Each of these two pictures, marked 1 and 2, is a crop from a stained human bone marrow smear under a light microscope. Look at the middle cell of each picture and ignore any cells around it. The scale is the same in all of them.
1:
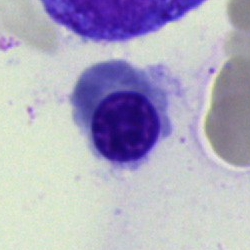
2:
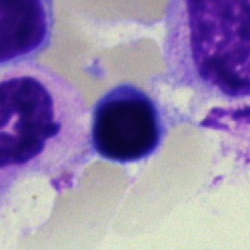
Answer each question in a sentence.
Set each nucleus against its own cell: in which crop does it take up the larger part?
It is the cell in crop 2 that is filled more by its nucleus.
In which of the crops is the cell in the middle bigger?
Crop 1 holds the larger cell; it covers about 2 times the area of the cell in crop 2.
